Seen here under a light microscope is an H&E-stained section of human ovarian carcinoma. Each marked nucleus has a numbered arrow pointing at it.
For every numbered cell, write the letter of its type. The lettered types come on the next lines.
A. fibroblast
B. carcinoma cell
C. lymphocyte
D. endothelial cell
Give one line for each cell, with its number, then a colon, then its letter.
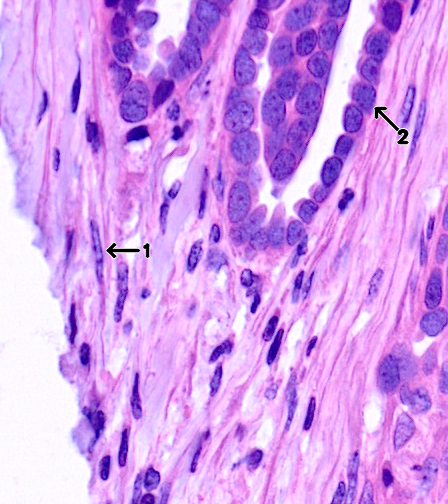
1: A
2: B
